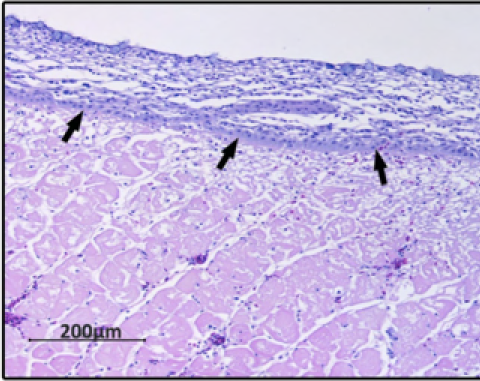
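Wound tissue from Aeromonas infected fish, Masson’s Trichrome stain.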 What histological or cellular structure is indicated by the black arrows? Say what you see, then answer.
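Basal layer of epidermis. The arrows point to a continuous darker band of cells at the base of the surface cell layer. Pink muscle fibres in cross-section lie below.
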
